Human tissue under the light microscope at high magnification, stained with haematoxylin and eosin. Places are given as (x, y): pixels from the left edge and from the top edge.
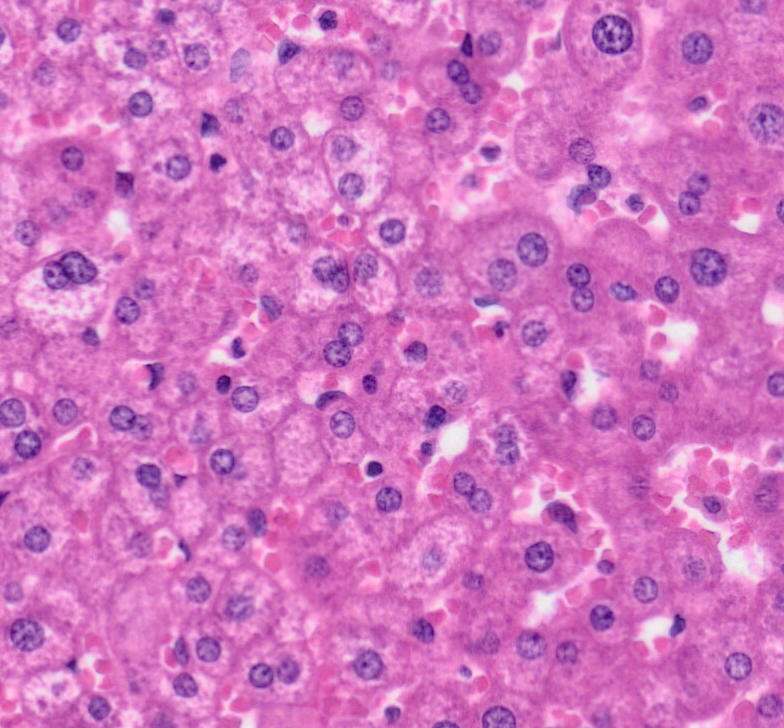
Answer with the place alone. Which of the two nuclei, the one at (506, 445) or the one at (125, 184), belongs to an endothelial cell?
(125, 184)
